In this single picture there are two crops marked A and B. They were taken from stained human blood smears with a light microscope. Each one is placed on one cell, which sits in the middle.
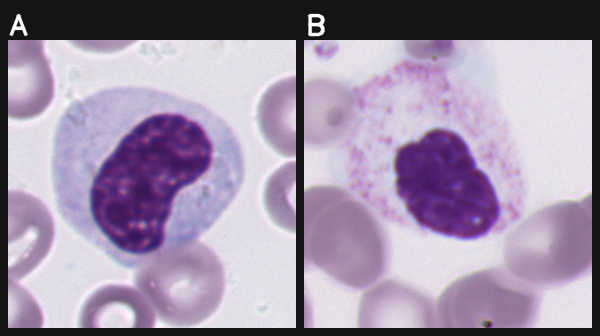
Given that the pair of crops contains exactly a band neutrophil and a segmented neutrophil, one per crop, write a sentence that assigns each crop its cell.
Crop A here is a band neutrophil, and crop B is a segmented neutrophil.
